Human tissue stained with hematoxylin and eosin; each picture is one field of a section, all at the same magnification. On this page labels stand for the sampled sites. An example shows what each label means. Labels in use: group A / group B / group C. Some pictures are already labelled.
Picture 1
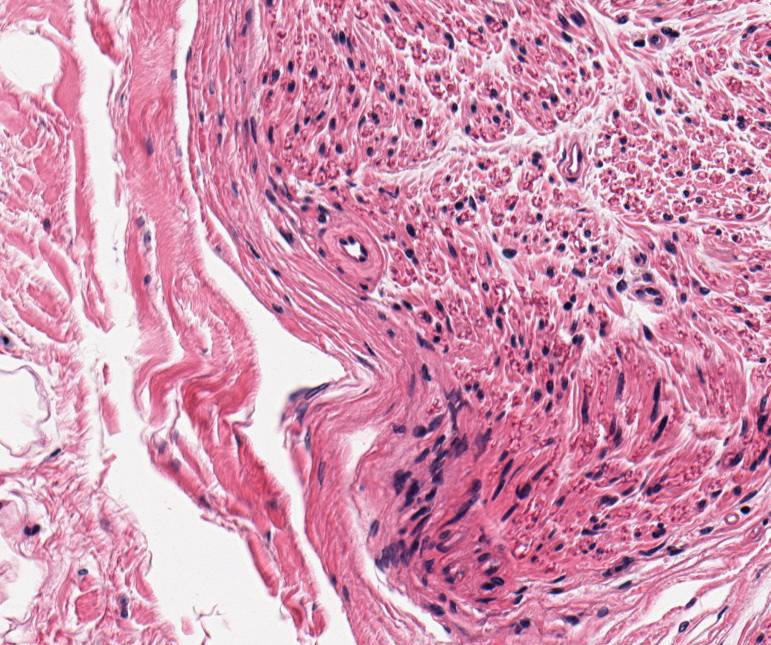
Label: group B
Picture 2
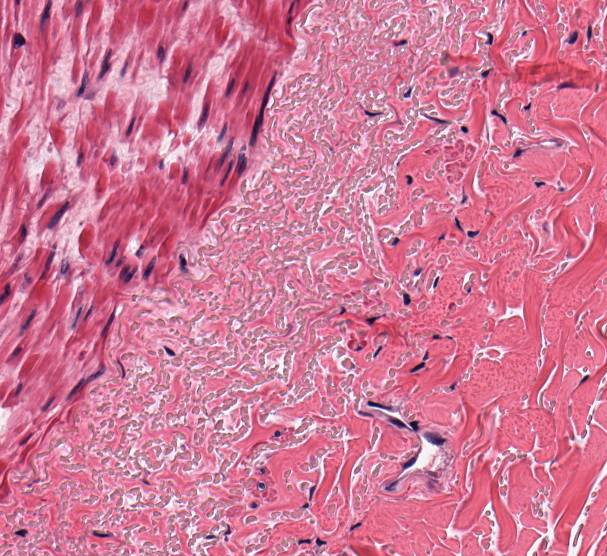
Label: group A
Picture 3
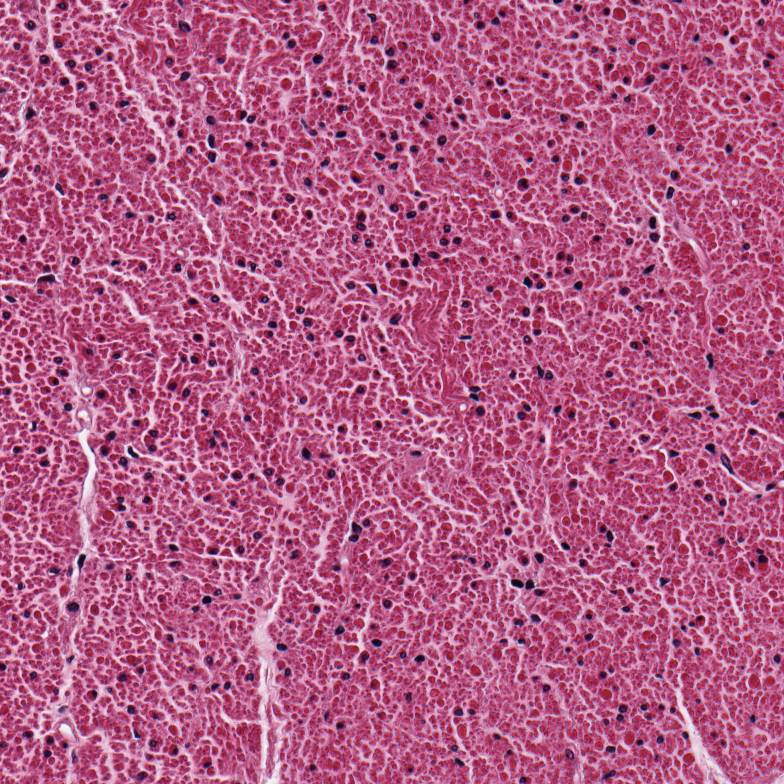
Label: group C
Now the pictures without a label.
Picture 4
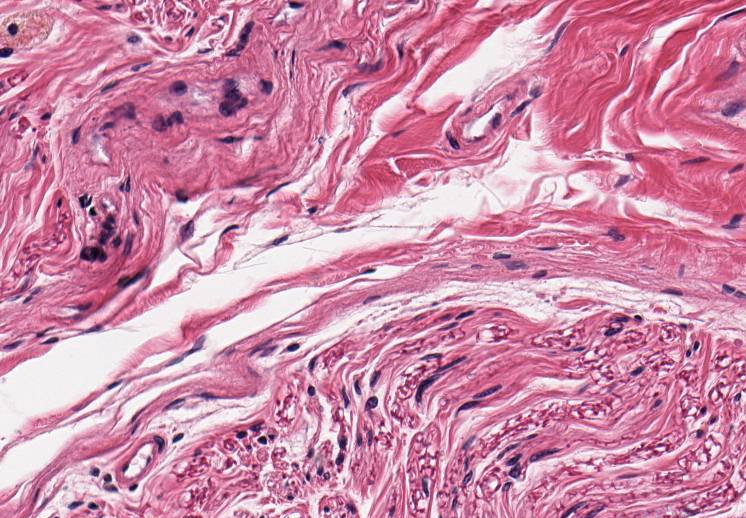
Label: group B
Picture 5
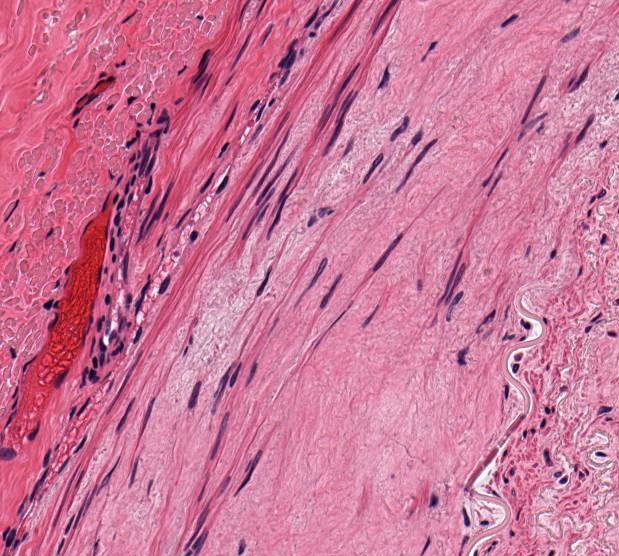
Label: group A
